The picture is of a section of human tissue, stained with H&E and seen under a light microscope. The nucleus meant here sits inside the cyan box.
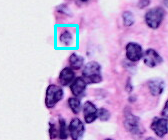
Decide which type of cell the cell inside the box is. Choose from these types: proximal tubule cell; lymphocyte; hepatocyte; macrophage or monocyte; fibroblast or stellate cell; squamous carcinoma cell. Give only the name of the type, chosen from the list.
lymphocyte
